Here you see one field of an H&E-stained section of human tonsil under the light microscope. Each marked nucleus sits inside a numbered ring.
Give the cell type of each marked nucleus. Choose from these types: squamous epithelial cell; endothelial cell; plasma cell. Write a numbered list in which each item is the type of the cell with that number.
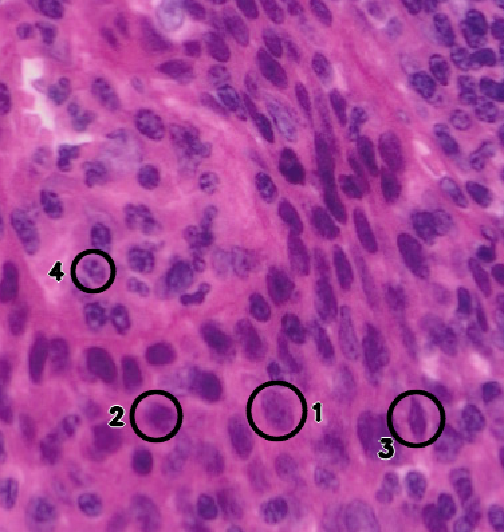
1. squamous epithelial cell
2. squamous epithelial cell
3. squamous epithelial cell
4. plasma cell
